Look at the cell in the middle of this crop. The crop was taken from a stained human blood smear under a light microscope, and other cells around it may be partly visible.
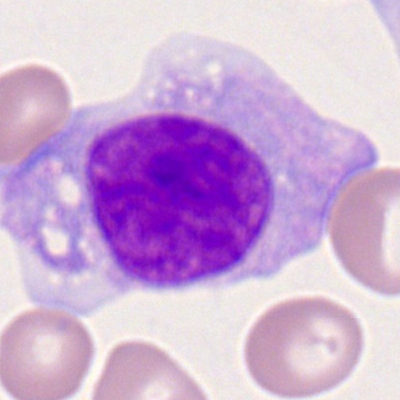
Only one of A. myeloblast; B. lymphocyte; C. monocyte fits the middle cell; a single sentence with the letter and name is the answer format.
It is a monocyte that occupies the centre of the crop, so option C is correct.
